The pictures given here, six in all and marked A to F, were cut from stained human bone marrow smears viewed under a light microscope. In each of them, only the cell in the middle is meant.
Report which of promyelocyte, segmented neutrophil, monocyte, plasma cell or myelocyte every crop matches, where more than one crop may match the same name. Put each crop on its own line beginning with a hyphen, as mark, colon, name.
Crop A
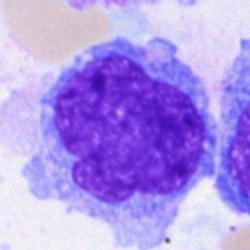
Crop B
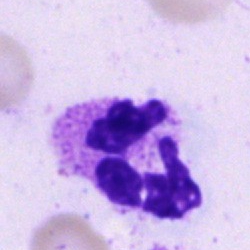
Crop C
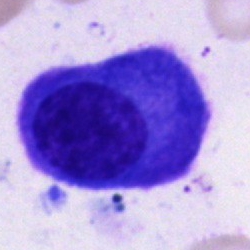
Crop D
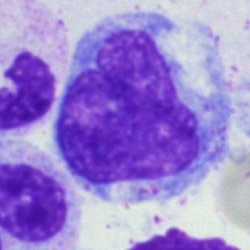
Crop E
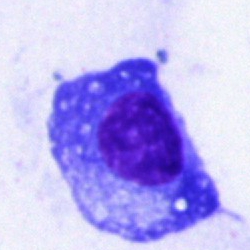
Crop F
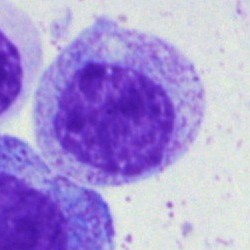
- A: monocyte
- B: segmented neutrophil
- C: plasma cell
- D: monocyte
- E: plasma cell
- F: myelocyte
